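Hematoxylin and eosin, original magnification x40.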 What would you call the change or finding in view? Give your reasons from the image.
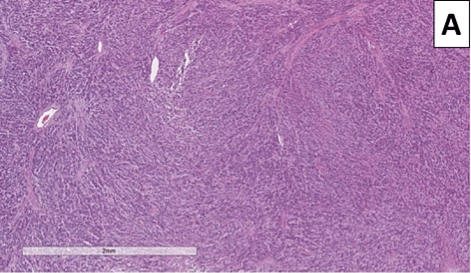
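The whole field is densely packed with purple-staining nuclei. Little intervening stroma or empty space between cells.
Hypercellular lesion.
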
